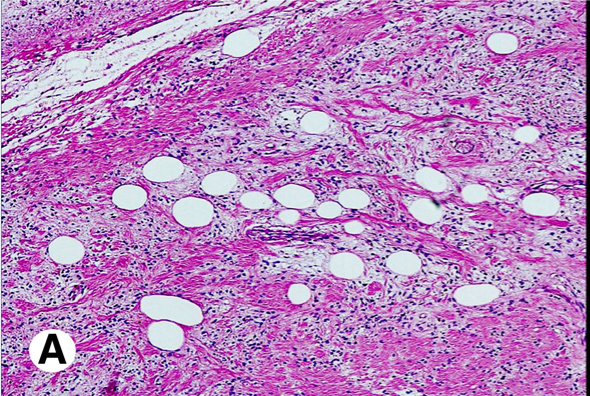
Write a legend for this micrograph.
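A low-power view of a spindle-cell lesion in which isolated fat cells, seen as round clear empty spaces of varied size, are scattered through a pink collagenous stroma. Wavy pink fibrous bundles and small dark spindle nuclei fill the spaces between the fat cells.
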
